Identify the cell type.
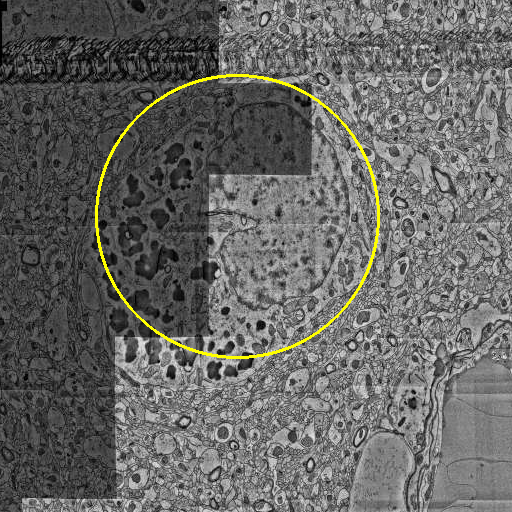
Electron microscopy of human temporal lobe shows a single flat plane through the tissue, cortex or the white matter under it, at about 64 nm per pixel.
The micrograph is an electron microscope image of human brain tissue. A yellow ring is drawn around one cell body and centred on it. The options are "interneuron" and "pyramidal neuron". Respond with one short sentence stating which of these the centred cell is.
The cell body in the ring belongs to an interneuron.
